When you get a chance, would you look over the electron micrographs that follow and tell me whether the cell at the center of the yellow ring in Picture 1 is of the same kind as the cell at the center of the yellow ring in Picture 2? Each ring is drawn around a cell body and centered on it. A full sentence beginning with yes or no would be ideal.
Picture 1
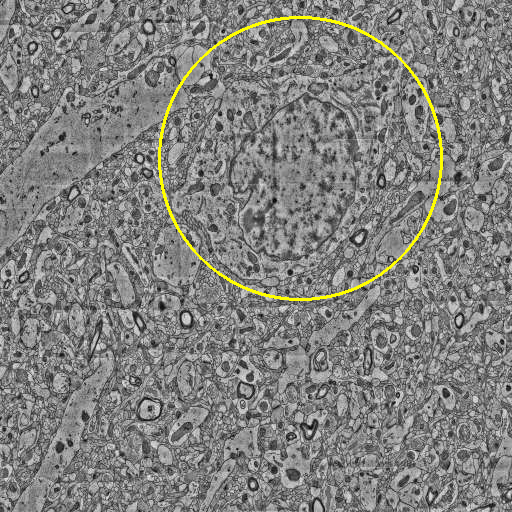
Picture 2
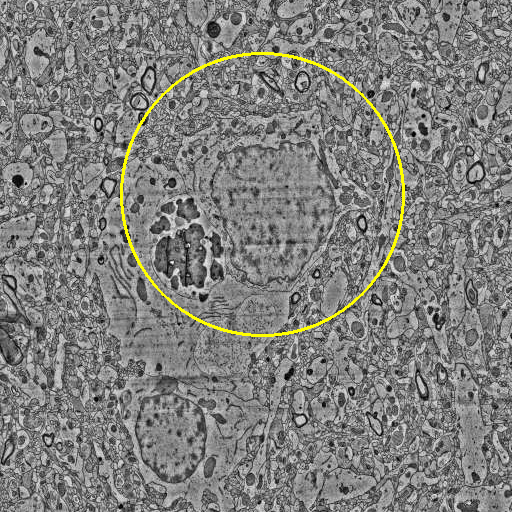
Yes, the two cells are of the same kind.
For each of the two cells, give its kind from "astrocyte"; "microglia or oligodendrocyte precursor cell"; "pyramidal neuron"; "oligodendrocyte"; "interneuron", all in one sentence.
Each of the two pictures has an interneuron at the ring centre.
